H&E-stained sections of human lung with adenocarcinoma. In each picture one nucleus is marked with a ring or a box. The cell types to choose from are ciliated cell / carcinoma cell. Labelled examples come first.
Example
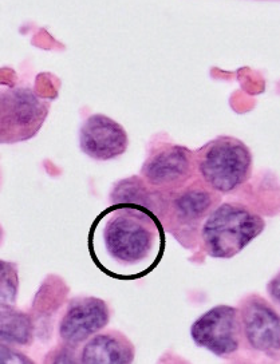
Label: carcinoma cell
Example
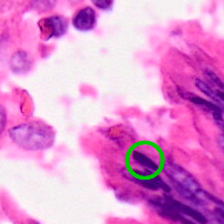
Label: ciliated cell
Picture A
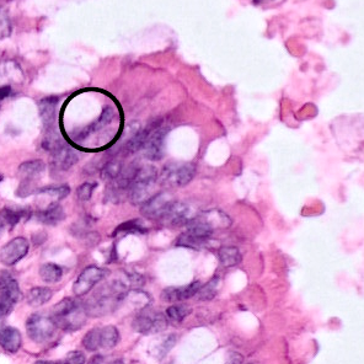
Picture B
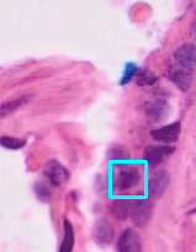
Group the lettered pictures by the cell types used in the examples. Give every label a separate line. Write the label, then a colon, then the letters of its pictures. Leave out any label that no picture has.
ciliated cell: A, B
